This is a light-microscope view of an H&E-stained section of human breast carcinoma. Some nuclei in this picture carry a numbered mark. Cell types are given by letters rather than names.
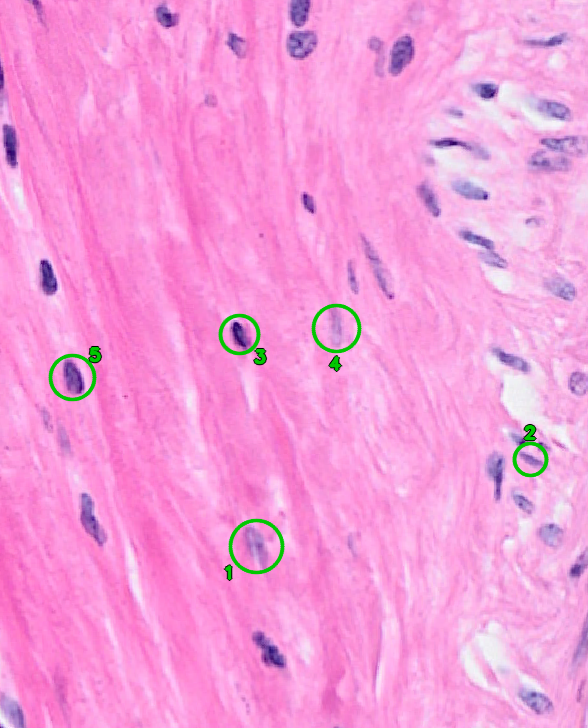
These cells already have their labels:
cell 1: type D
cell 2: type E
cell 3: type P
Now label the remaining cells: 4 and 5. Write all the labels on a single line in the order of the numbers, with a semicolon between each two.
type D; type P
